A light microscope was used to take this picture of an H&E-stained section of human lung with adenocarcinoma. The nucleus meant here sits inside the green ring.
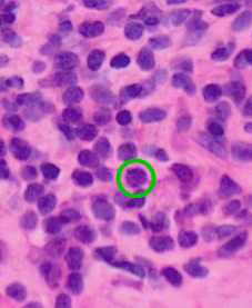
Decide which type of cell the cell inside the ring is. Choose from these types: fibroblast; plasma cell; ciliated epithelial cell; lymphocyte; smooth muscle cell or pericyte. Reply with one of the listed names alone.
lymphocyte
